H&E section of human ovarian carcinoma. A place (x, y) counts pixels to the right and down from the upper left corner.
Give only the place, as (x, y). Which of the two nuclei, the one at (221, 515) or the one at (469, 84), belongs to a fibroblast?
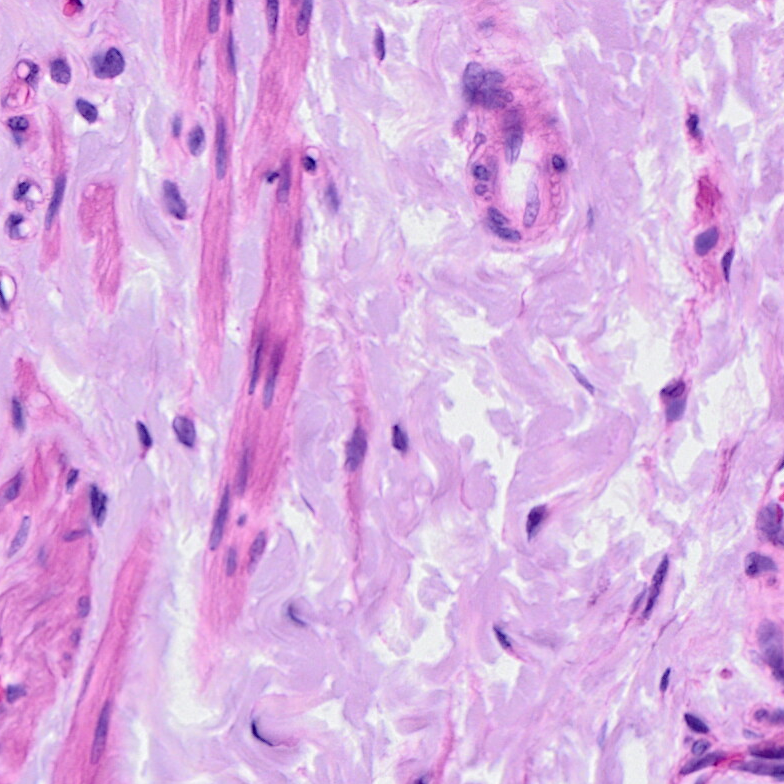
(469, 84)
